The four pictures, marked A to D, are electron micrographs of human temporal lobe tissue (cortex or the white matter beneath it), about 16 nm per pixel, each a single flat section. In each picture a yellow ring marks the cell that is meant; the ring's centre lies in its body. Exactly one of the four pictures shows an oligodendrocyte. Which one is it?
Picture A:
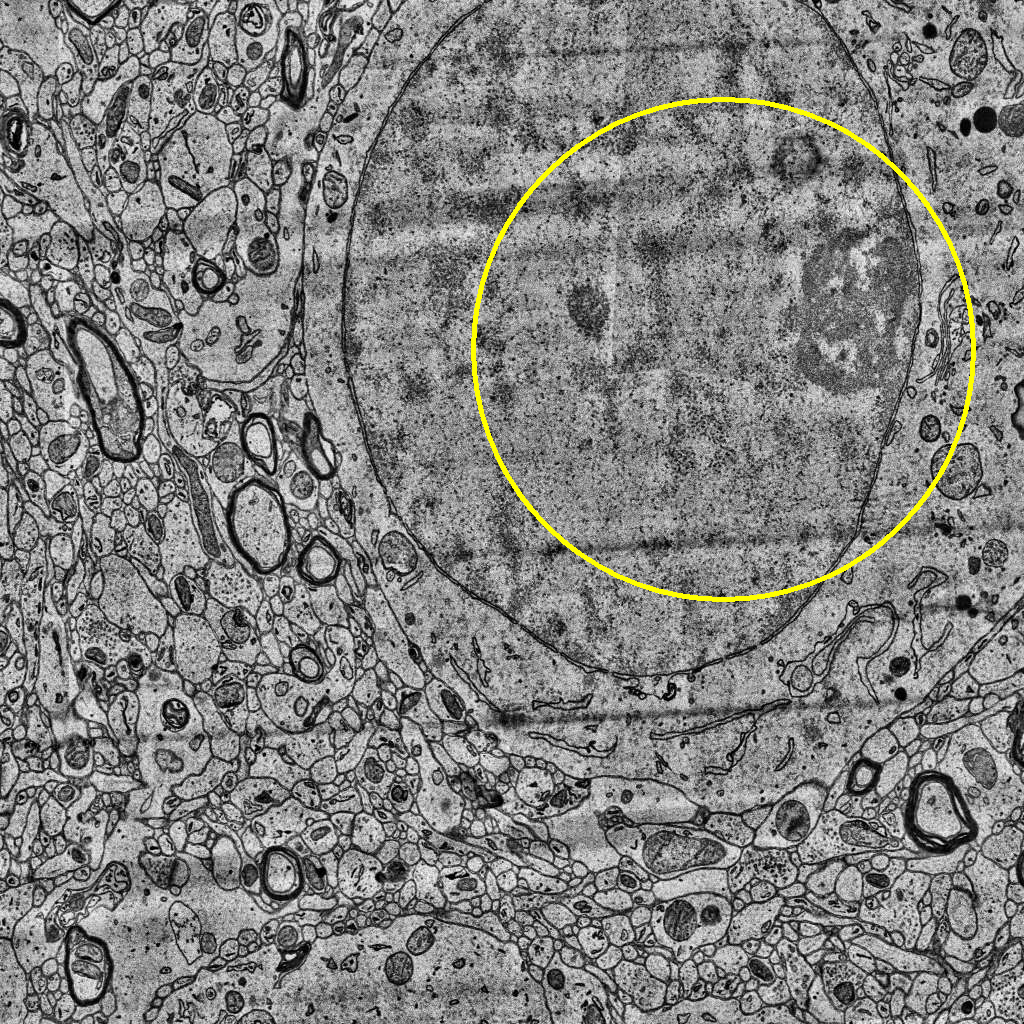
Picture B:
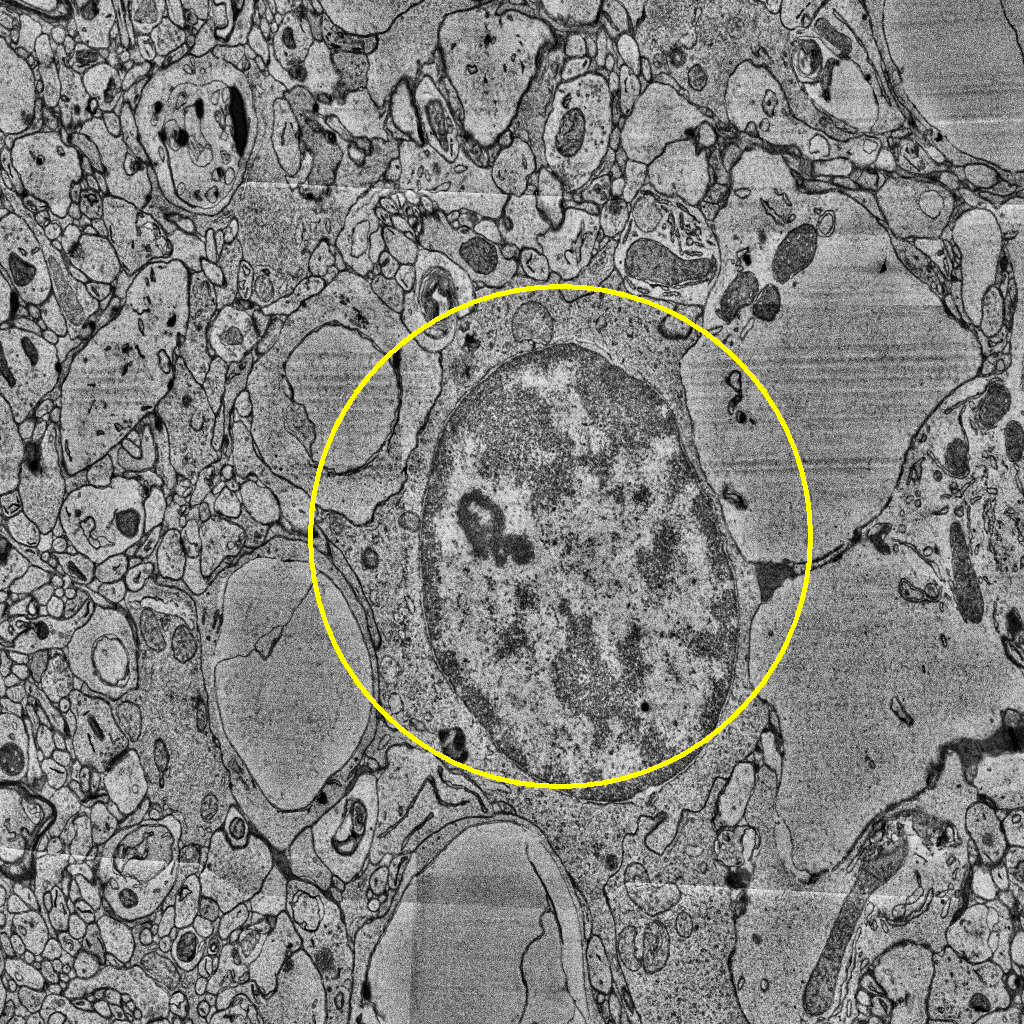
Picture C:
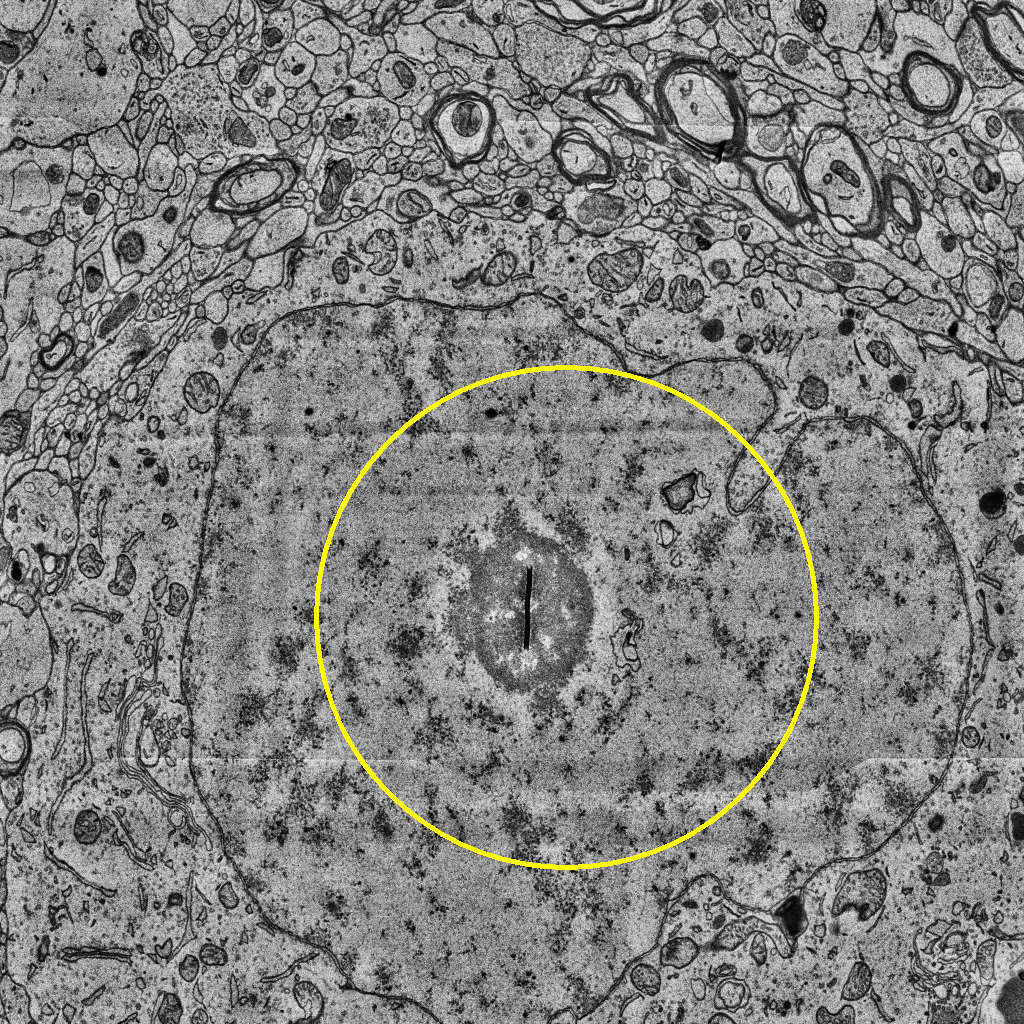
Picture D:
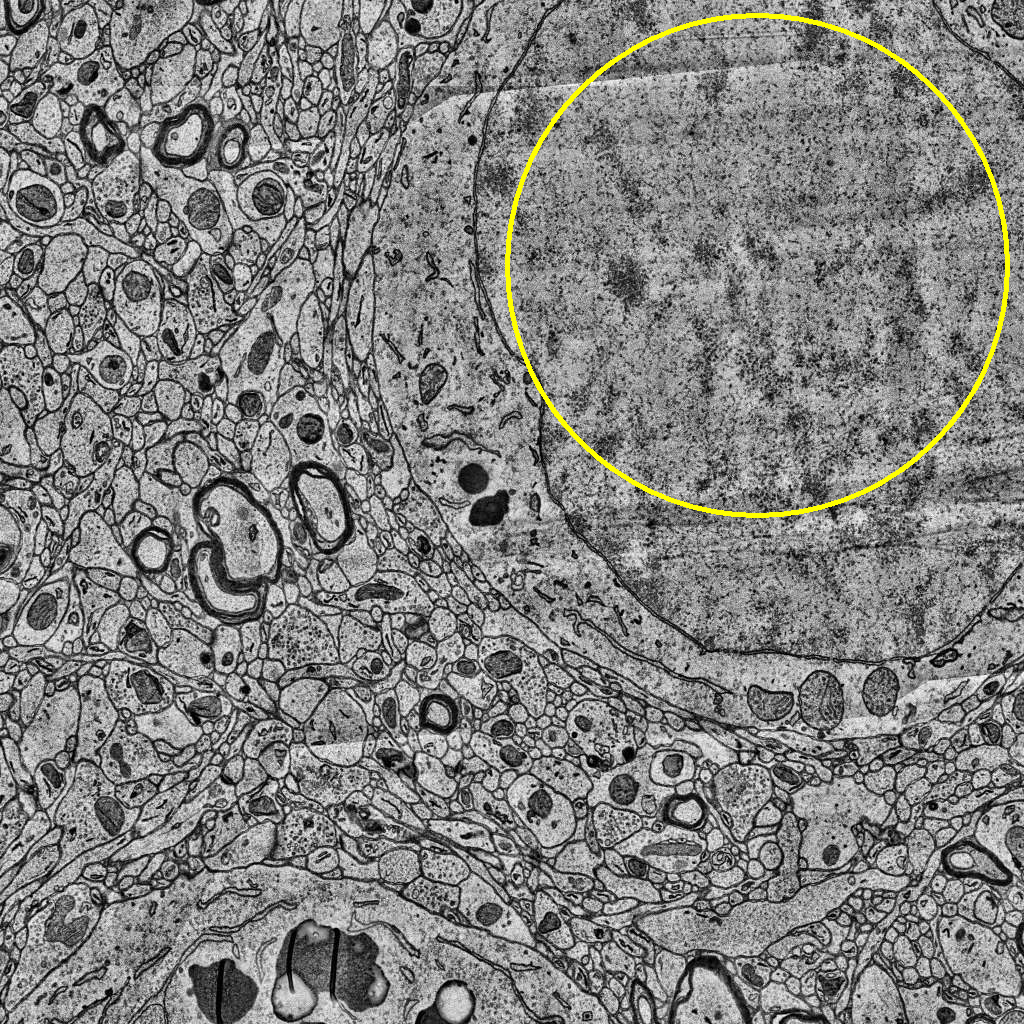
Picture B shows the oligodendrocyte.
